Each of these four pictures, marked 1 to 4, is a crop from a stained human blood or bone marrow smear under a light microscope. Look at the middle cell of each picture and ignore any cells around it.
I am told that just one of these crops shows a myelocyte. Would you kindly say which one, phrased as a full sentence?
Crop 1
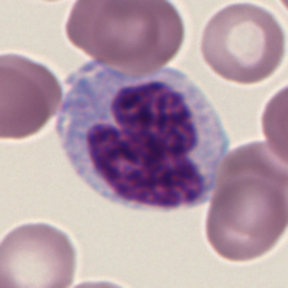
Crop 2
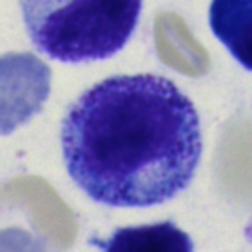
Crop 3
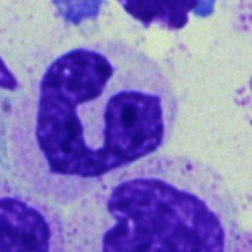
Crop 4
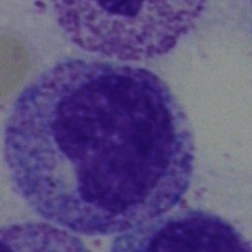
The crop with a myelocyte at its center is crop 4.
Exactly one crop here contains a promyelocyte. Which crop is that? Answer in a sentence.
Of the crops given, a promyelocyte is found in crop 2.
